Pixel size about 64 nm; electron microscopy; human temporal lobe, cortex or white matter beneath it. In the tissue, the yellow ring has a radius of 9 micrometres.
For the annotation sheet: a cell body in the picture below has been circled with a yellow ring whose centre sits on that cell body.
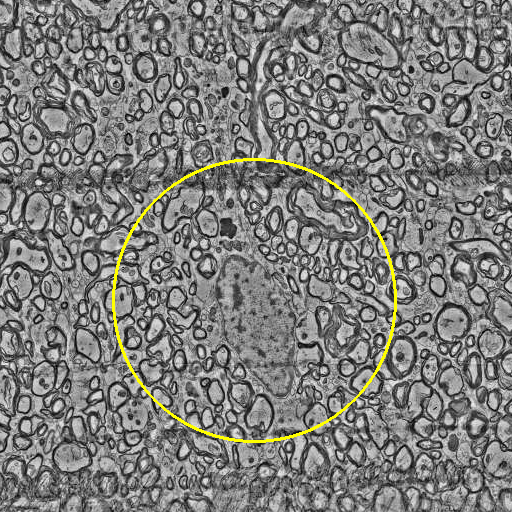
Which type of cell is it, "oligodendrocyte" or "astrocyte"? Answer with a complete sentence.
The circled cell is an astrocyte.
